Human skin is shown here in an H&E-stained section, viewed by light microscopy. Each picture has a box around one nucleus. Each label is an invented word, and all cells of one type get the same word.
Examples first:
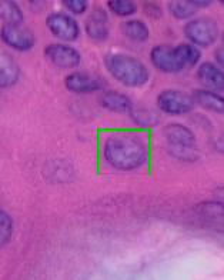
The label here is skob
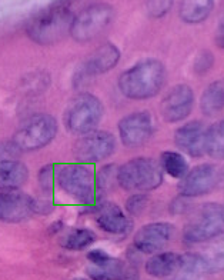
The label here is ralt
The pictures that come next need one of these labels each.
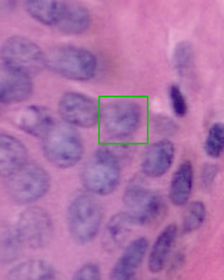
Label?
ralt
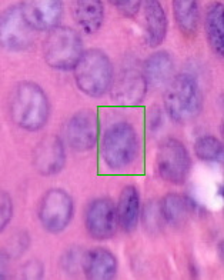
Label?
skob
